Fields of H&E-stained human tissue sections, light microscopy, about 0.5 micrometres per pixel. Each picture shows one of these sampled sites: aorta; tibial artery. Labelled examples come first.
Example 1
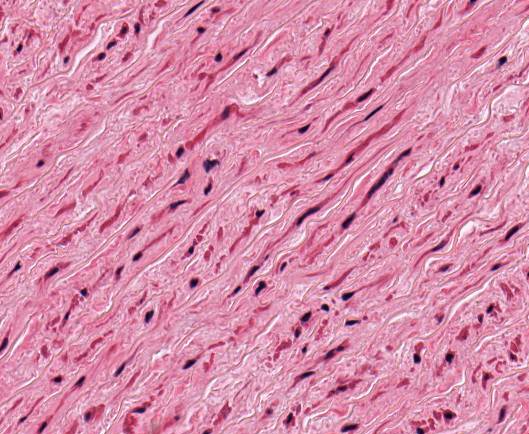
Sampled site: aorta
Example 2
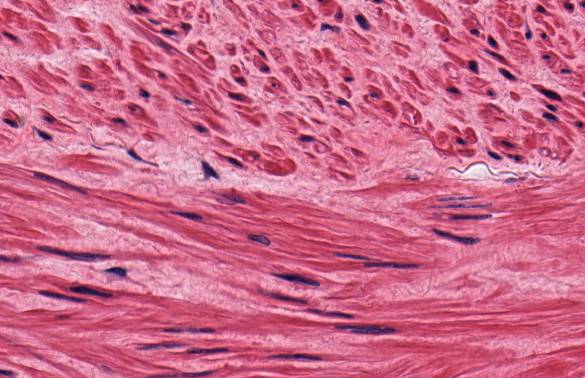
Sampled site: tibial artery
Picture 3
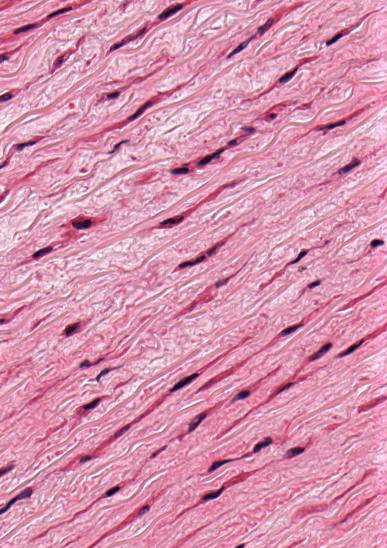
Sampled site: aorta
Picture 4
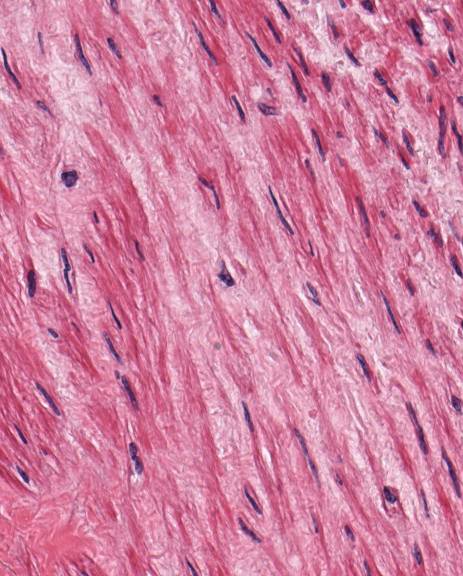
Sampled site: tibial artery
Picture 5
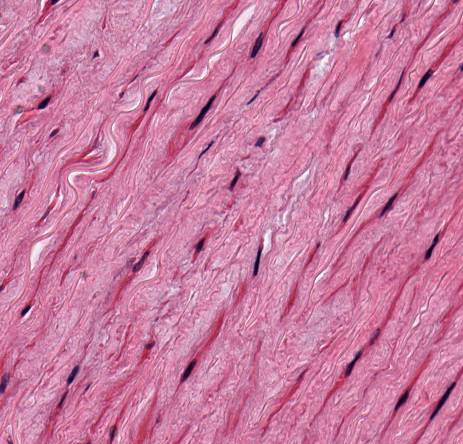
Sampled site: aorta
